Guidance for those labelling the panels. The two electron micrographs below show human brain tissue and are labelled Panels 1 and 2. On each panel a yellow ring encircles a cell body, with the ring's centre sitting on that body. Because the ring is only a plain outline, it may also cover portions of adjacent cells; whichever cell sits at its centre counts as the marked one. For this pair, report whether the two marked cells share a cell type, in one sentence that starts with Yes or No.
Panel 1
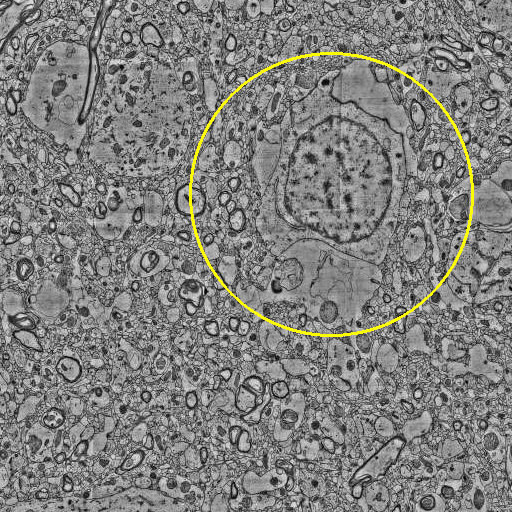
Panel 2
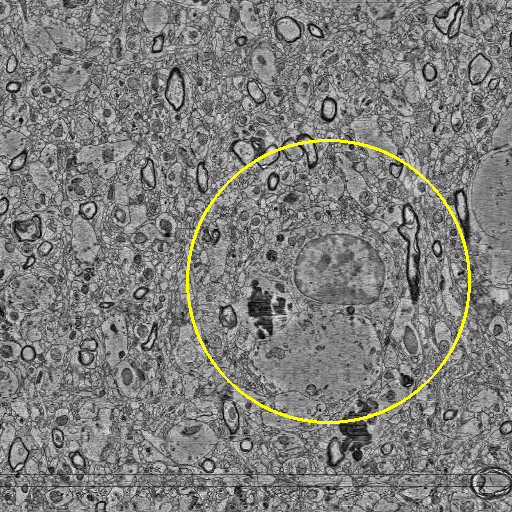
No, in Panel 1 and Panel 2 the marked cells at the ring centres are of two types.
